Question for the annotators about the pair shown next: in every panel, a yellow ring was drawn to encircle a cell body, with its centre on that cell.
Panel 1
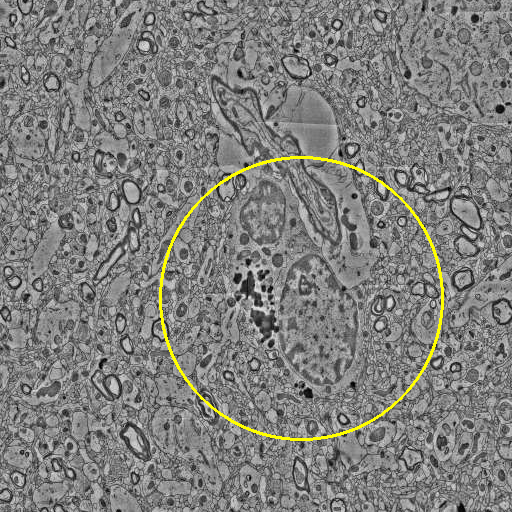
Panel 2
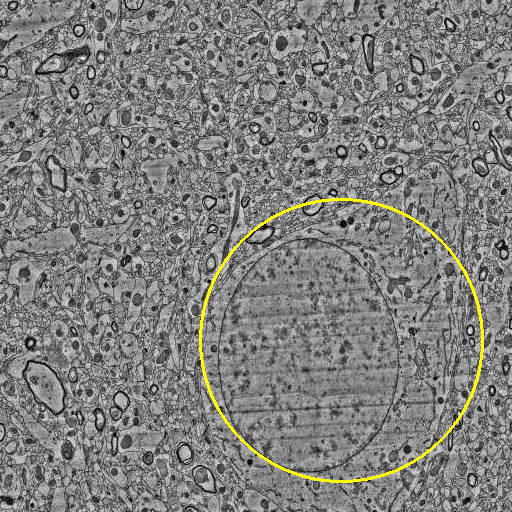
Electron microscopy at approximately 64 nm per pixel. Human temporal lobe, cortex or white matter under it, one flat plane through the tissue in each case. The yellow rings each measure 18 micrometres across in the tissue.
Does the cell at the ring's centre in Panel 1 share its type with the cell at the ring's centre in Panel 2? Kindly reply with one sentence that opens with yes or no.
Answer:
No, in Panels 1 and 2 the cells at the ring centres belong to separate types.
